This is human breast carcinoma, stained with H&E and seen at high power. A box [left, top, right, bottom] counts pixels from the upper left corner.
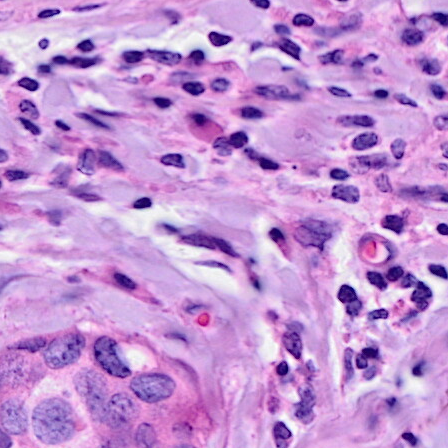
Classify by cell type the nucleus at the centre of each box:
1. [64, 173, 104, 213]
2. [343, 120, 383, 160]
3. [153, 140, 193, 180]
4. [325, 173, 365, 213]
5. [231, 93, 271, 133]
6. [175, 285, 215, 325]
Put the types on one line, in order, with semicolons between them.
fibroblast; lymphocyte; lymphocyte; lymphocyte; lymphocyte; endothelial cell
